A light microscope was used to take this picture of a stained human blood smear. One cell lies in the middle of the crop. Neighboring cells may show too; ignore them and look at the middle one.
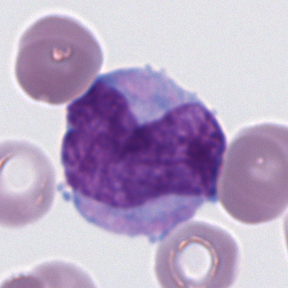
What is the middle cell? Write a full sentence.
The centrally located cell in the crop is an atypical promyelocyte.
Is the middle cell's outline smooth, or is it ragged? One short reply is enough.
The cell margin is rough and uneven, either ragged or drawn into projections.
